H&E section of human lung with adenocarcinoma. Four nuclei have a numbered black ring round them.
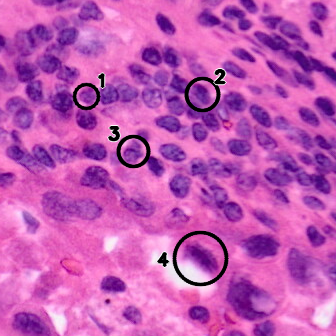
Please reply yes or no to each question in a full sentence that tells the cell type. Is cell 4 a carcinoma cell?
Yes, in this section the cell with number 4 is a carcinoma cell.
